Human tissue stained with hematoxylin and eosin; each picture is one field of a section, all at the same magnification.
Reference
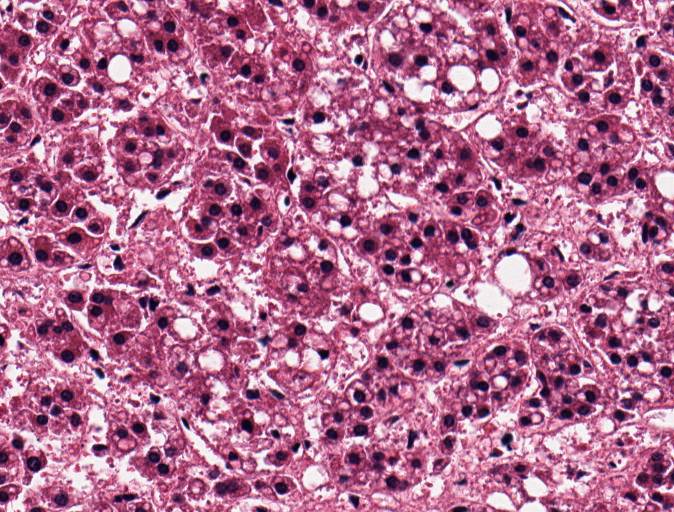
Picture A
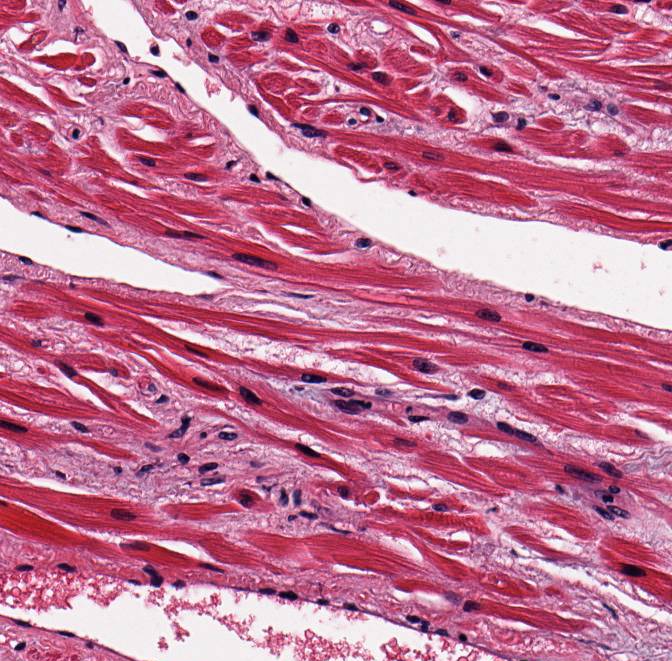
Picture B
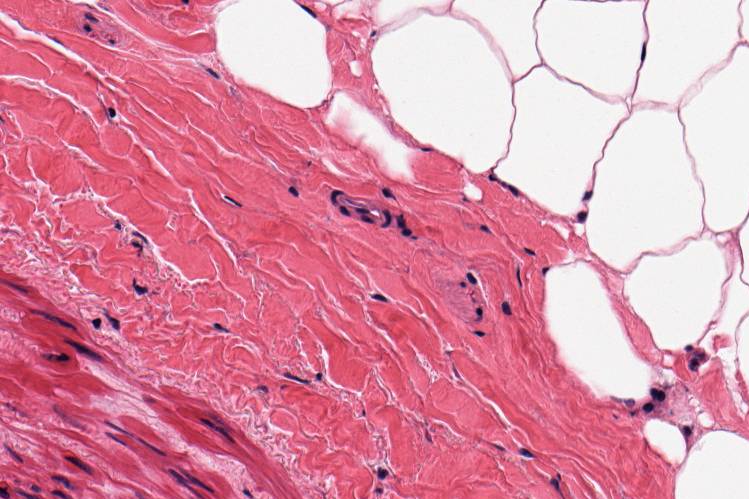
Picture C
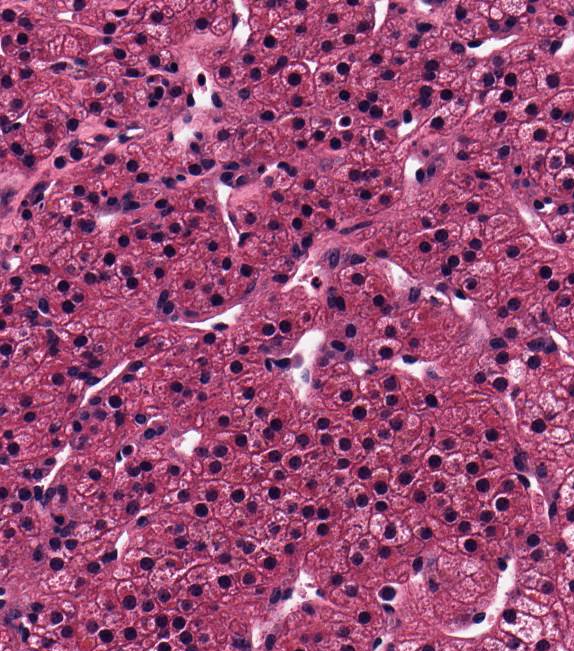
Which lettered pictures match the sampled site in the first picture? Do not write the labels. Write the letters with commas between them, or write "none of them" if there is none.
C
